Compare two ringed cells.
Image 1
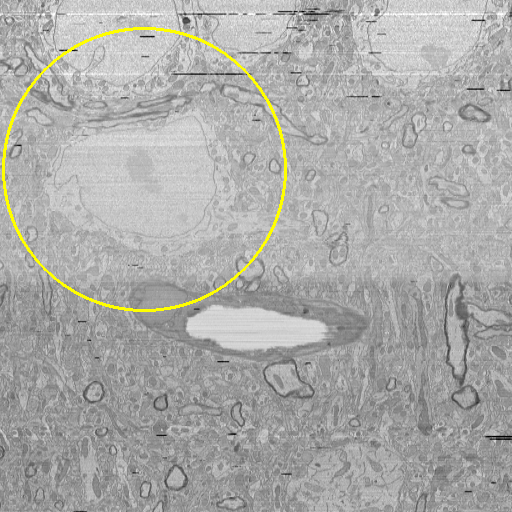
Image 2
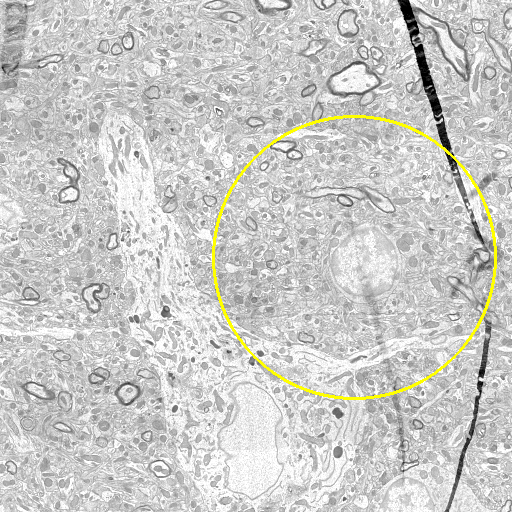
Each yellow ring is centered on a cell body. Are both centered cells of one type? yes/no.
no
